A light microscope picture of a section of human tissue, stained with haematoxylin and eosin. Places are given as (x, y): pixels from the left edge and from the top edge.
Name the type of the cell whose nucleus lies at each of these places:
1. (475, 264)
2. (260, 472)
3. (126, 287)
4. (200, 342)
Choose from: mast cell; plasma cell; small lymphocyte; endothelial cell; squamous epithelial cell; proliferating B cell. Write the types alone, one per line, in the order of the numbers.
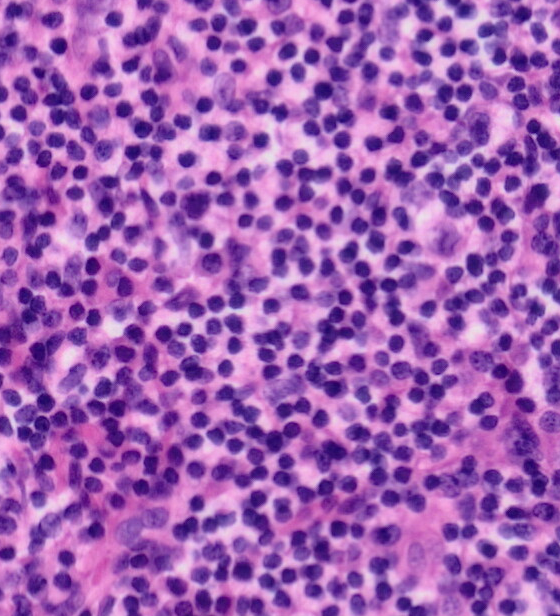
small lymphocyte
small lymphocyte
endothelial cell
small lymphocyte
